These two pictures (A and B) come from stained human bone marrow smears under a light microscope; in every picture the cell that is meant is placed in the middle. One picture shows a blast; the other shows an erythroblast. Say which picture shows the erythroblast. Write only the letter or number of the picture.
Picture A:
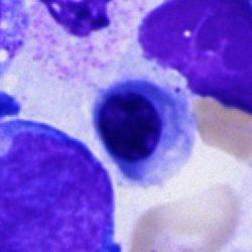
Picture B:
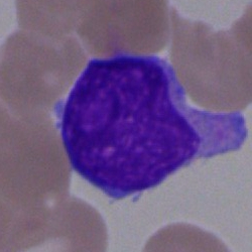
A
